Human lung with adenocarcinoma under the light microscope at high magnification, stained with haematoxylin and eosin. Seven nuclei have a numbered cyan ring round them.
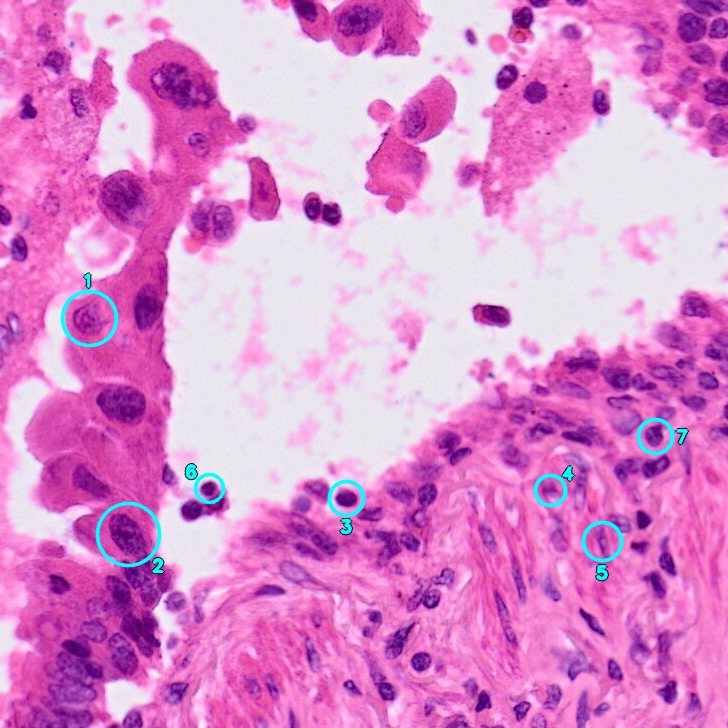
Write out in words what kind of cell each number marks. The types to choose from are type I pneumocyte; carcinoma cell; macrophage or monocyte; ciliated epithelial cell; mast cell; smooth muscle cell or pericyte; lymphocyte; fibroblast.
Cell 1 is a carcinoma cell, cell 2 is a carcinoma cell, cell 3 is a lymphocyte, cell 4 is a smooth muscle cell or pericyte, cell 5 is a smooth muscle cell or pericyte, cell 6 is a lymphocyte and cell 7 is a lymphocyte.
